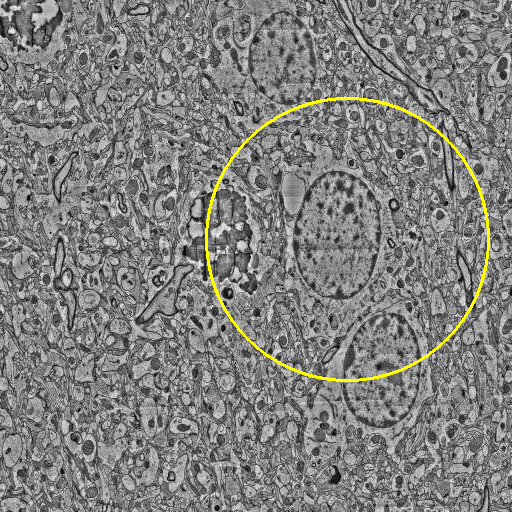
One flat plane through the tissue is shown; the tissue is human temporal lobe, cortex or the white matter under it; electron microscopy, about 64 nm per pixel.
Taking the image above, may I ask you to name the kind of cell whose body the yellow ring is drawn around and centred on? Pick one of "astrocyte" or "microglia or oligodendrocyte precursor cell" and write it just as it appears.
astrocyte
